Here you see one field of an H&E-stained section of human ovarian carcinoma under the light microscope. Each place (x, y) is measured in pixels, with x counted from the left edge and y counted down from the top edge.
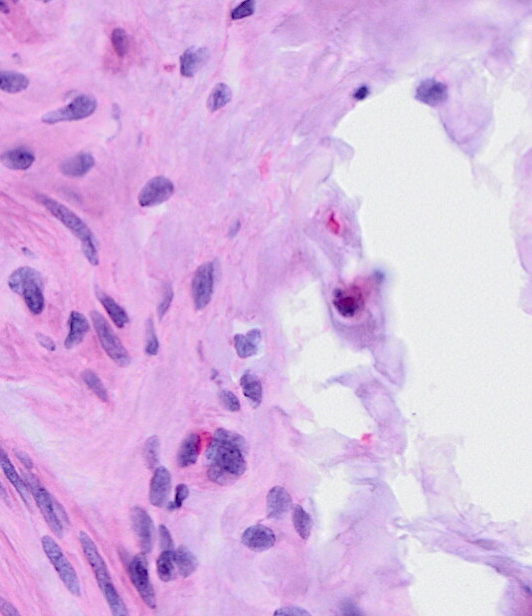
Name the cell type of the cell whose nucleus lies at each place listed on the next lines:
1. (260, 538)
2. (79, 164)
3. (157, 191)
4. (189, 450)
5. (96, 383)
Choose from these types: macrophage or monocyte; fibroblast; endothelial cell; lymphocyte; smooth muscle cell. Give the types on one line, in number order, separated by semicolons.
fibroblast; fibroblast; fibroblast; endothelial cell; smooth muscle cell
